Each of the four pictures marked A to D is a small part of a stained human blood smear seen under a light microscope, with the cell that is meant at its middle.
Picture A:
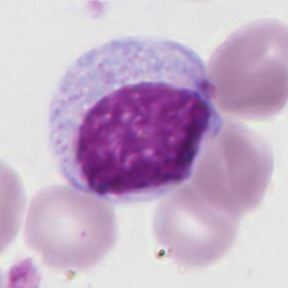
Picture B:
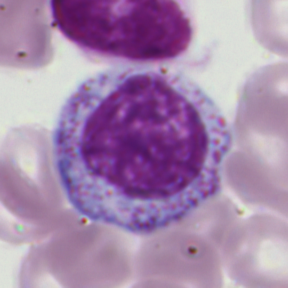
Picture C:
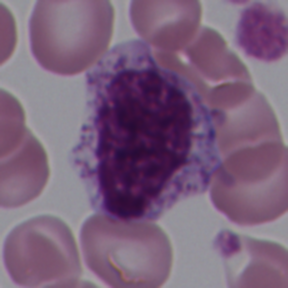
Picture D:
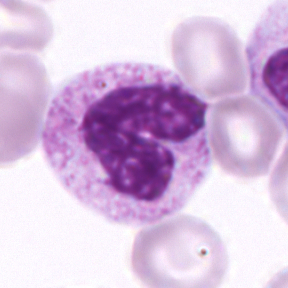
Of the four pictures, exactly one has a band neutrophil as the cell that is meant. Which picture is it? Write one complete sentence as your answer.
Picture D is the one that shows the band neutrophil.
